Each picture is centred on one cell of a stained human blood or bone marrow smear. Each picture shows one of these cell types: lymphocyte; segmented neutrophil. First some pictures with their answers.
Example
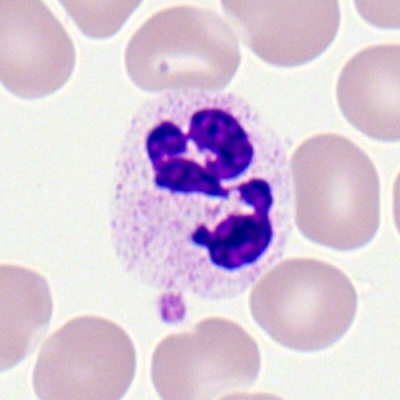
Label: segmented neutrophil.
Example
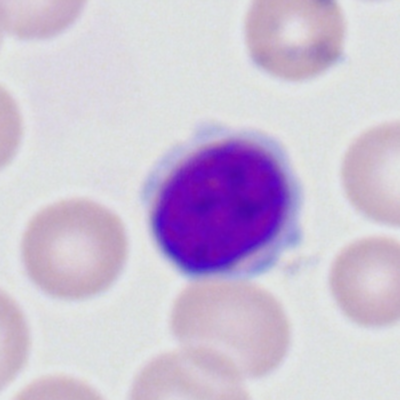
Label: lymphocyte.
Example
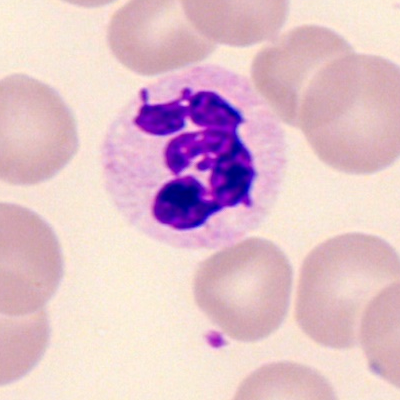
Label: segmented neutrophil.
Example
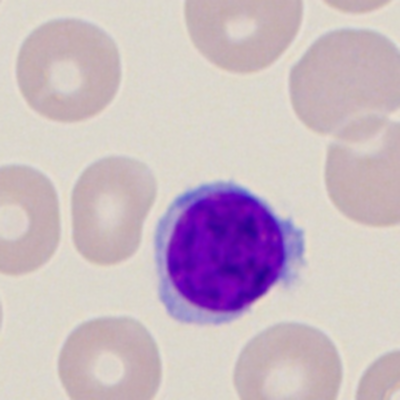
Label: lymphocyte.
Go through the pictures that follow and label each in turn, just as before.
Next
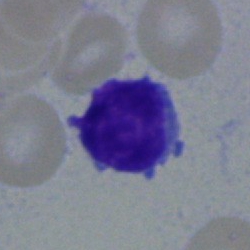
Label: lymphocyte.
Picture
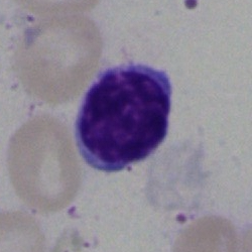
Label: lymphocyte.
